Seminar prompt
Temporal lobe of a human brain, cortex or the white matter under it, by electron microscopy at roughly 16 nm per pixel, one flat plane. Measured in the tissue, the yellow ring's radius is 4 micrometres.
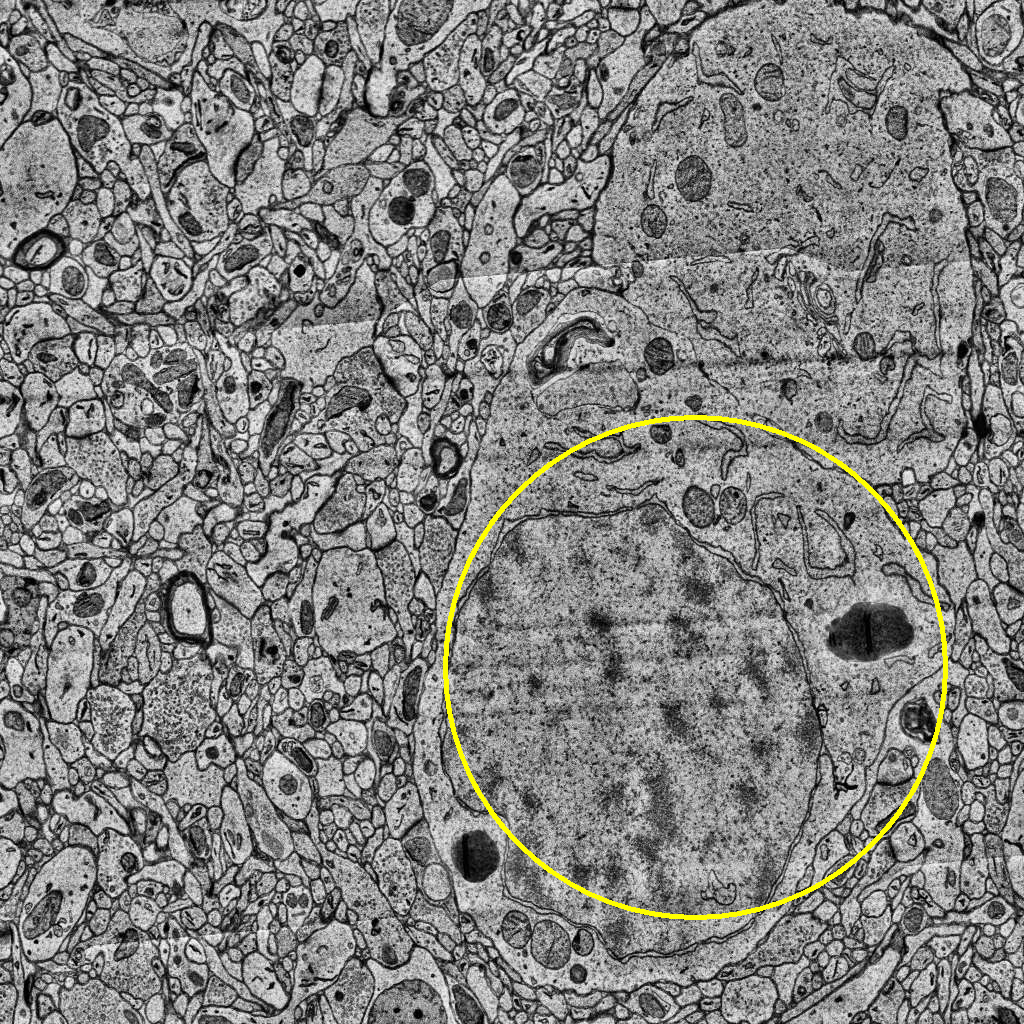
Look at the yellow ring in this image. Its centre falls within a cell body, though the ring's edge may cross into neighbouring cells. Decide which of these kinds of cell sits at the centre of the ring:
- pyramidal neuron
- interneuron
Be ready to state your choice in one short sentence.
The kind of cell at the ring's centre is an interneuron.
